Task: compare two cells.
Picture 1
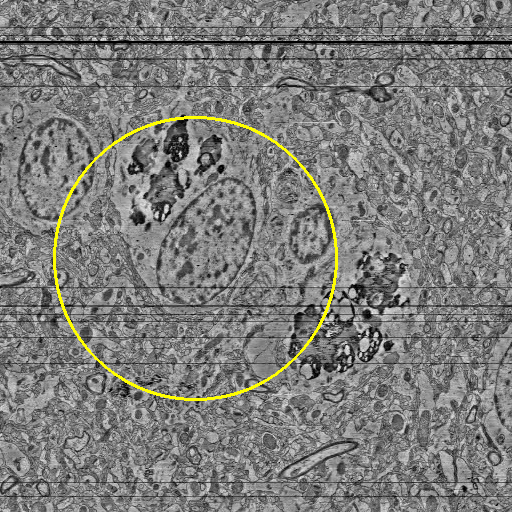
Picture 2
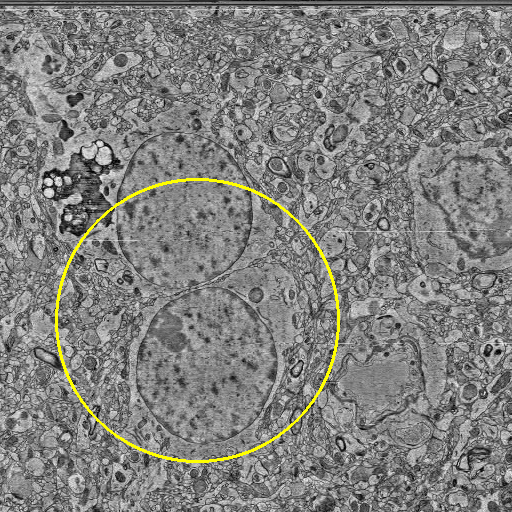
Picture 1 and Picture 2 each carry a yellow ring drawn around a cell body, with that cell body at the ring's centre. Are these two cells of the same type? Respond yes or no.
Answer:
yes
